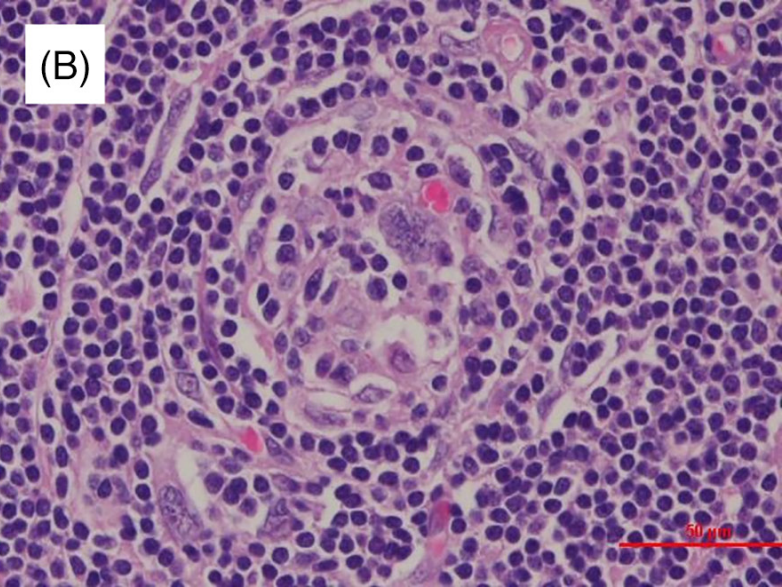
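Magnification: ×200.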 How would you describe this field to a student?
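Lymphoid tissue with an onion-skin structure: small round lymphocytes with dark, dense nuclei and scant cytoplasm are lined up in concentric rings around a central core. The core holds larger cells with paler, oval to irregular nuclei and pink cytoplasm, along with a few red blood cells and small vessels lined by flattened cells. Outside the rings, lymphocytes are densely packed, and thin-walled vessels with elongated nuclei run among them.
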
